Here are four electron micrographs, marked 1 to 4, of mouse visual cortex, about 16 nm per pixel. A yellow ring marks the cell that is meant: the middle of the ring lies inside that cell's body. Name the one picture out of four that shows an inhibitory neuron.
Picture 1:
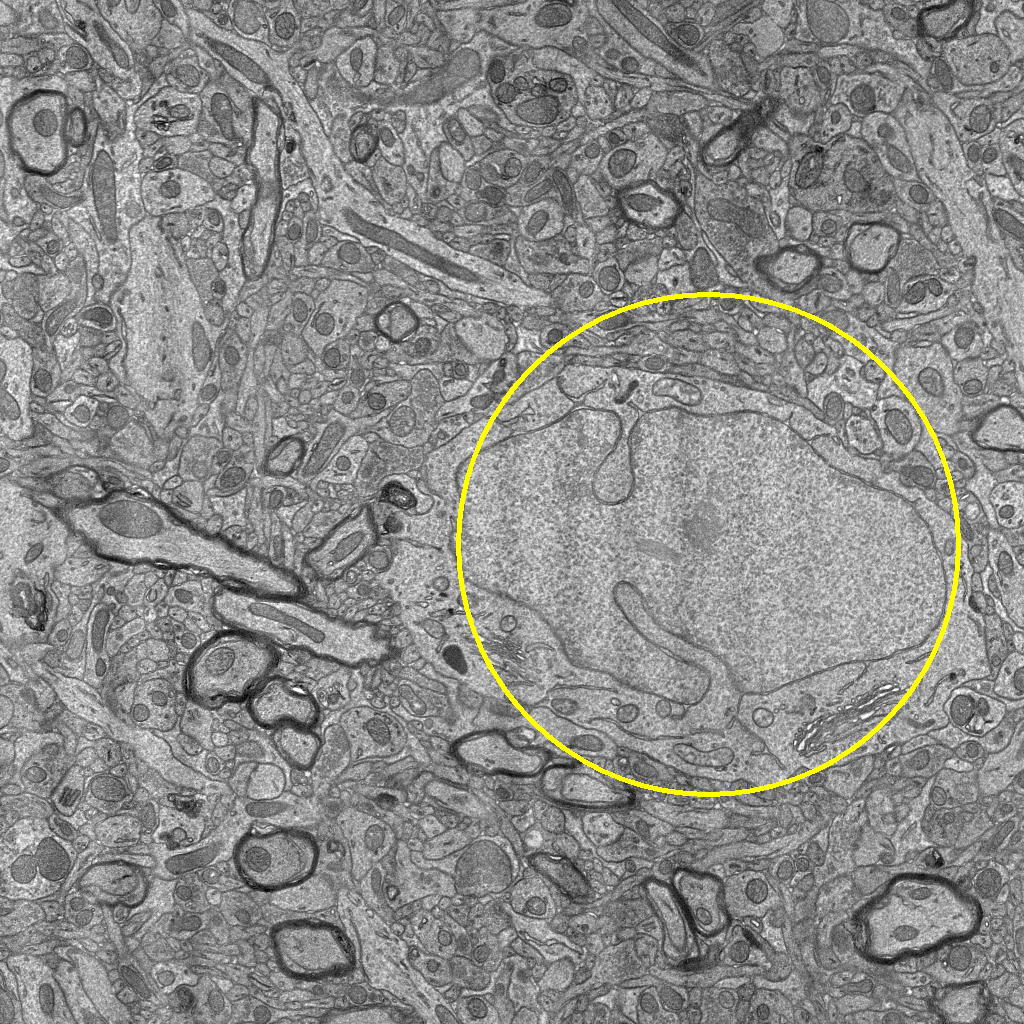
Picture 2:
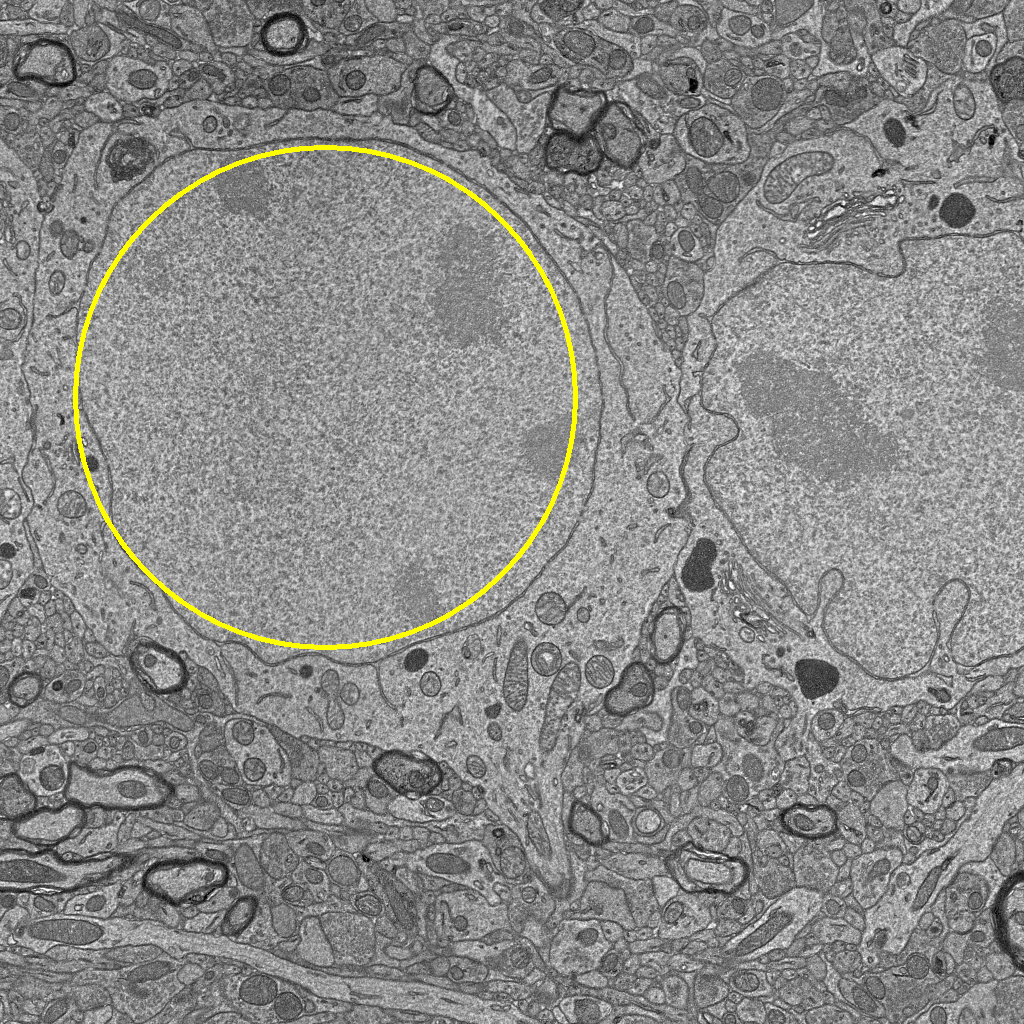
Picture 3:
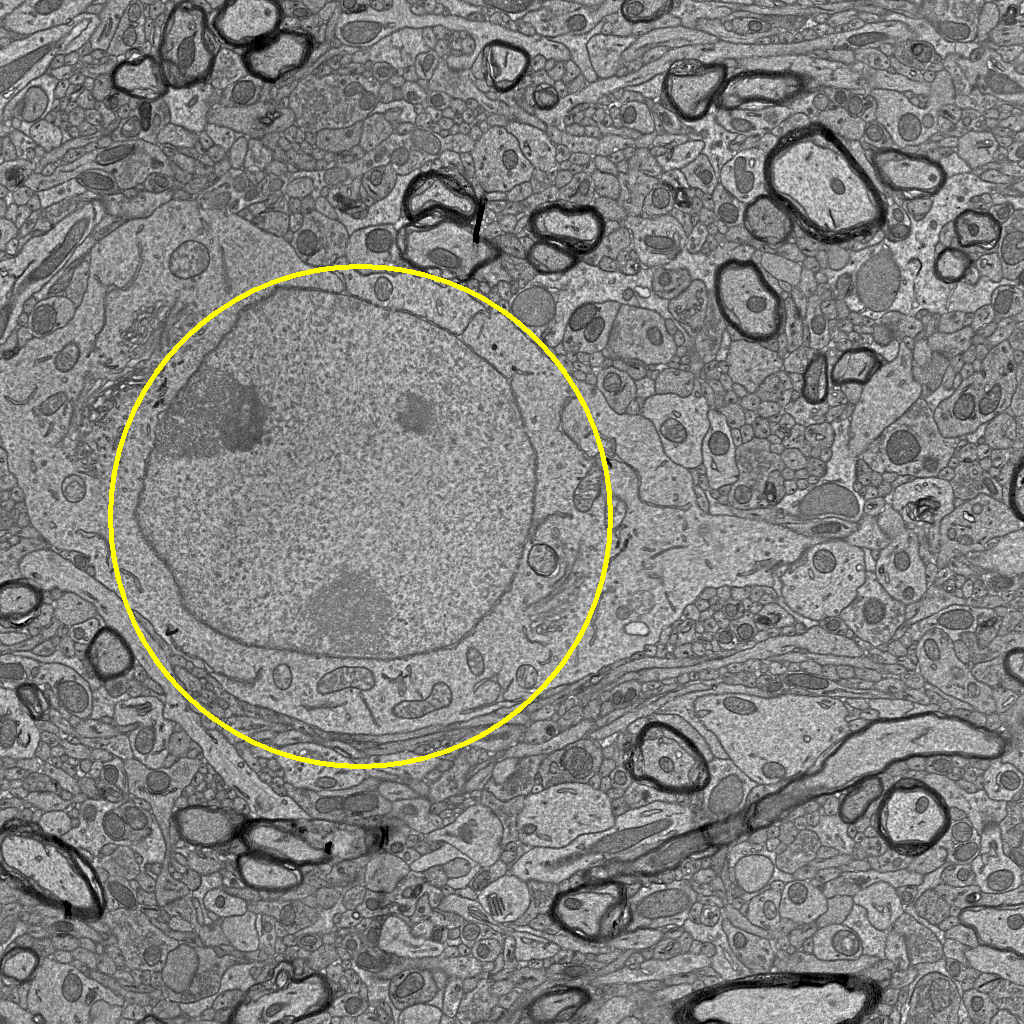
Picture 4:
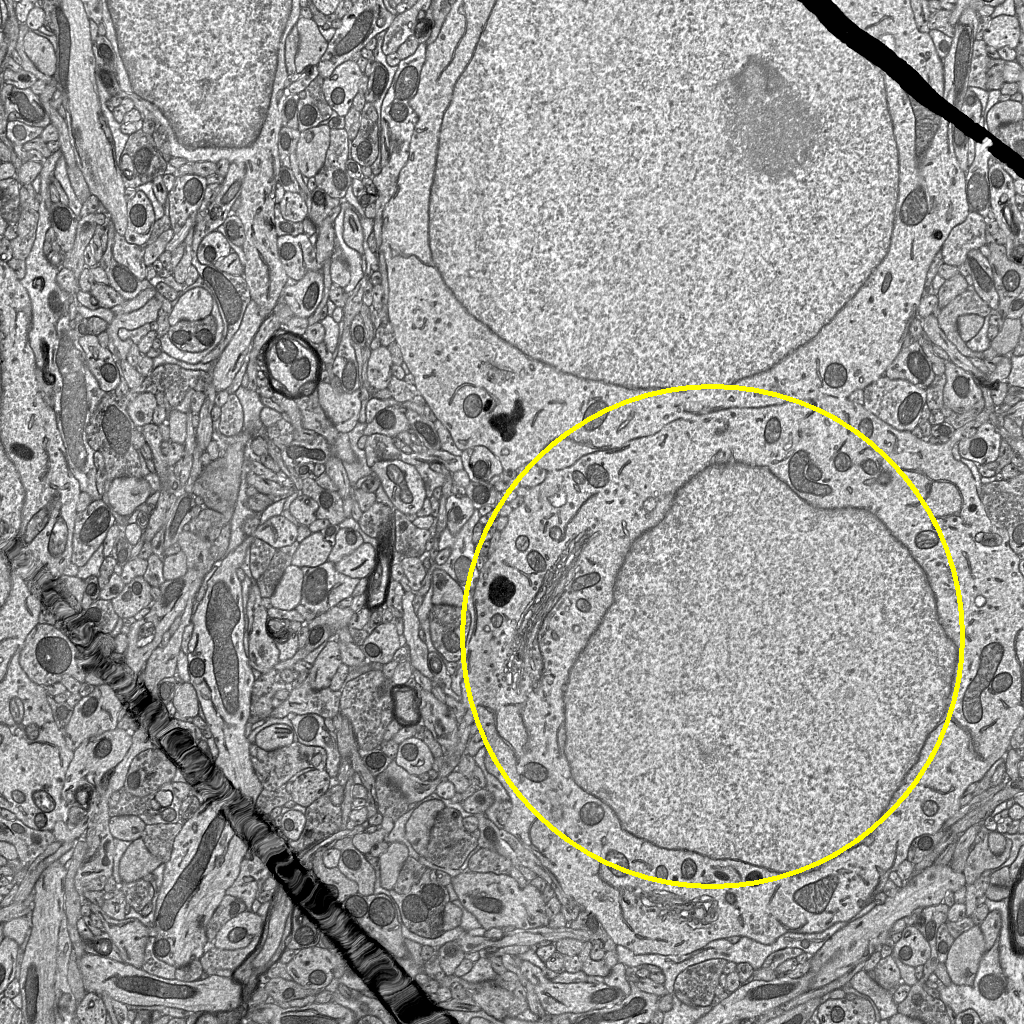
Picture 1 shows the inhibitory neuron.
